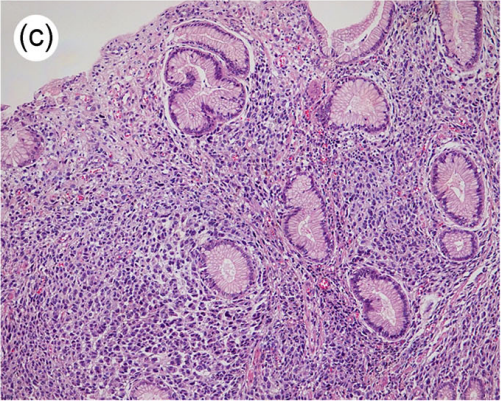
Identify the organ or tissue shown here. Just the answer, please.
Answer: Mucosa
